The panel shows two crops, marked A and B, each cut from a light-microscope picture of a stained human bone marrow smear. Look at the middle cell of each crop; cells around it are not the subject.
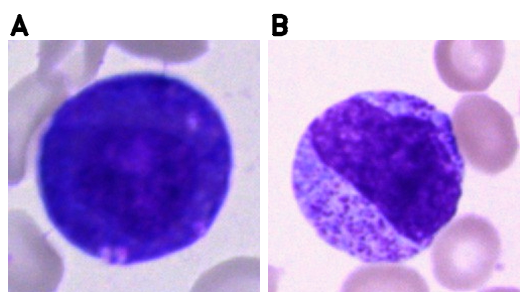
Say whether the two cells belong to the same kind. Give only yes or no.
yes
